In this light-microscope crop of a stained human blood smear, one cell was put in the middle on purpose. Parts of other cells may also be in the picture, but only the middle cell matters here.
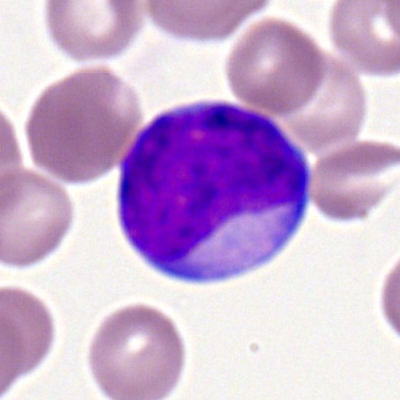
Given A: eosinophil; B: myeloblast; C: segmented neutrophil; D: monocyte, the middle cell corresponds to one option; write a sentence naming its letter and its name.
The cell occupying the centre is a myeloblast; option B is thus the correct choice.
